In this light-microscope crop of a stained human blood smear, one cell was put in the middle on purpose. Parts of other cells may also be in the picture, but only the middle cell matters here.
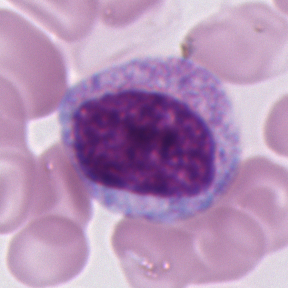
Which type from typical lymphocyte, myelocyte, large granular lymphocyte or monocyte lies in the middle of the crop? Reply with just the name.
myelocyte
